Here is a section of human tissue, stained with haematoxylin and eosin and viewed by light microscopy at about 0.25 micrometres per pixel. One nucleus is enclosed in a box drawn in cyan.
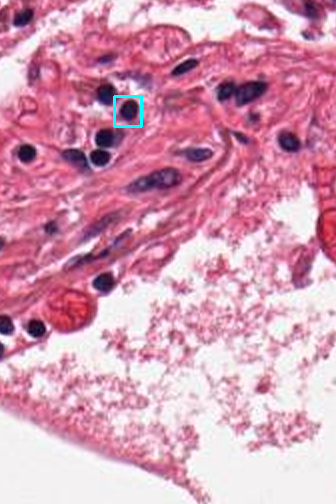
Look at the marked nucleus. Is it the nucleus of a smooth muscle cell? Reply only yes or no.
no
